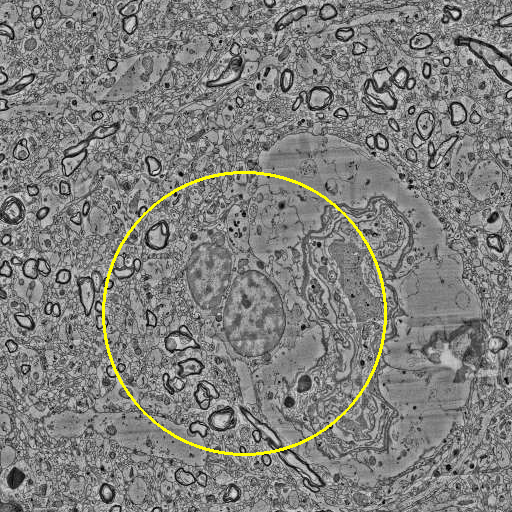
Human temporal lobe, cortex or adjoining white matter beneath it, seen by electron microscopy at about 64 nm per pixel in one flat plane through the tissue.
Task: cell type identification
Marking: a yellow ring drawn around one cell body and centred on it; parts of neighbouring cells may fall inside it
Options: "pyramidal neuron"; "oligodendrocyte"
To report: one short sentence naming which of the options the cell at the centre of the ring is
The cell at the centre of the ring is an oligodendrocyte.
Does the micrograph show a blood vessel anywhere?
Yes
